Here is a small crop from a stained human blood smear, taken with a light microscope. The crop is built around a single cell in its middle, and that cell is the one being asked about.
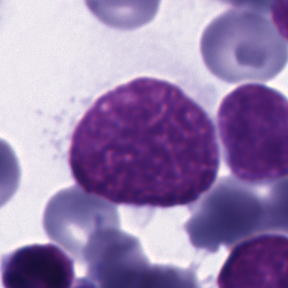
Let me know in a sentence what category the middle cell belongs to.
The cell under consideration, at the middle of the crop, is a smudge cell.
